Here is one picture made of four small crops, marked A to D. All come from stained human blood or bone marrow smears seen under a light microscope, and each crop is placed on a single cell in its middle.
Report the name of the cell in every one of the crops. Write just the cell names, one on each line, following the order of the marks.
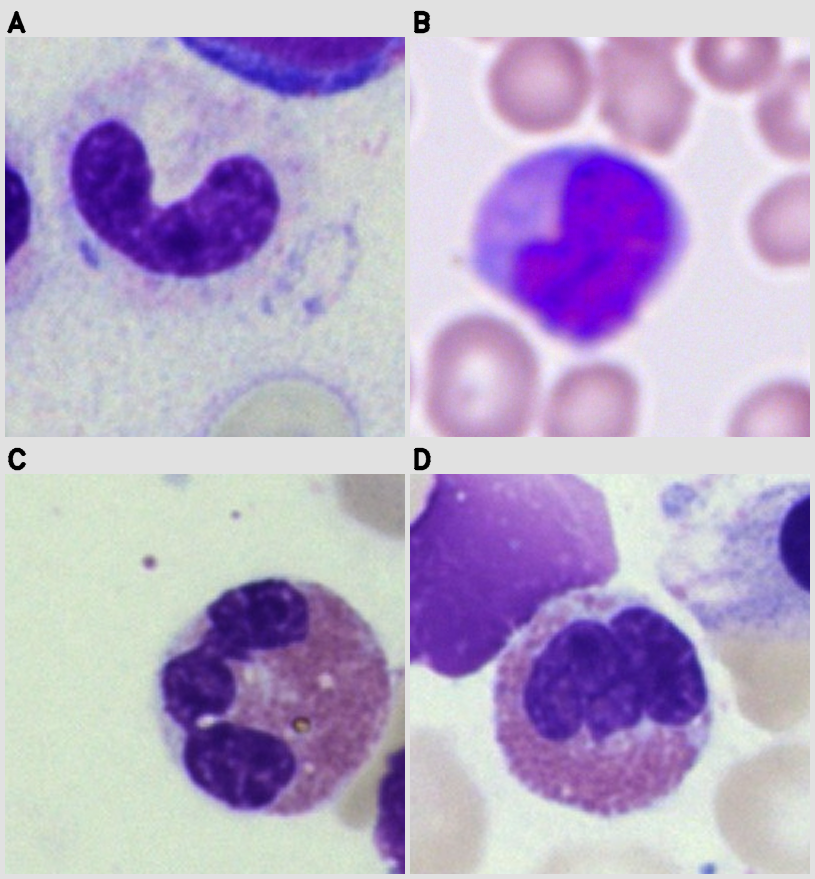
band neutrophil
monocyte
eosinophil
eosinophil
